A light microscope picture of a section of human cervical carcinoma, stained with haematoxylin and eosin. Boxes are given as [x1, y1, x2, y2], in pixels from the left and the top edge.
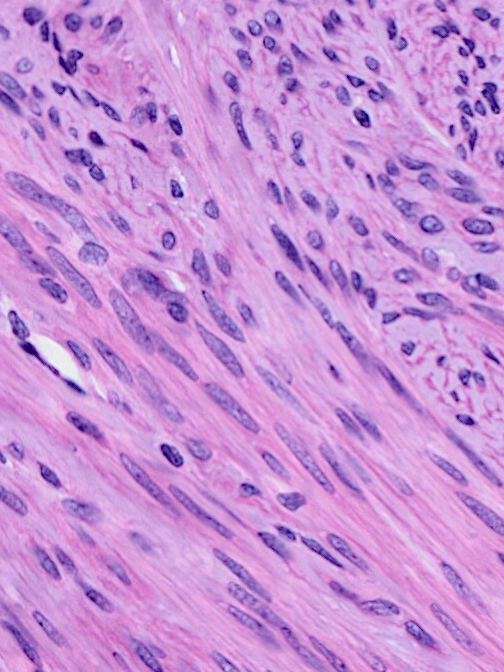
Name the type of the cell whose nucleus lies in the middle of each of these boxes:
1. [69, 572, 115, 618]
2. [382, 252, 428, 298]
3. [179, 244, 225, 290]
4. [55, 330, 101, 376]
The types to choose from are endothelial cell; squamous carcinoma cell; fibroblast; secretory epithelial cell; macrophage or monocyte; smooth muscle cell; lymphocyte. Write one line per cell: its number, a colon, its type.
1: smooth muscle cell
2: smooth muscle cell
3: smooth muscle cell
4: endothelial cell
